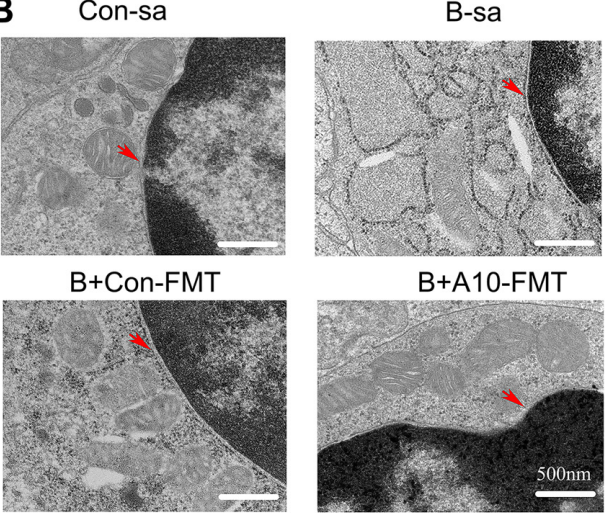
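The cytoplasm holds oval mitochondria with clearly visible cristae lying in a granular matrix. In one image the cytoplasm is crossed by a network of dark, beaded membrane profiles with pale elongated clefts between them, giving it a disrupted look, while the others show more compact cytoplasm with mitochondria packed close to the nuclear edge.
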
